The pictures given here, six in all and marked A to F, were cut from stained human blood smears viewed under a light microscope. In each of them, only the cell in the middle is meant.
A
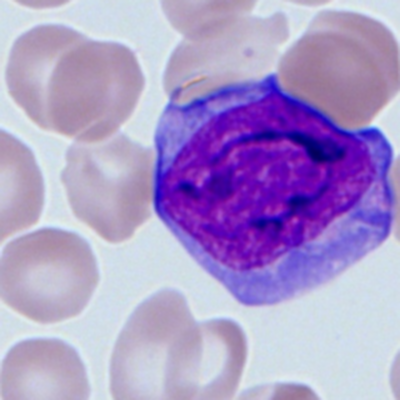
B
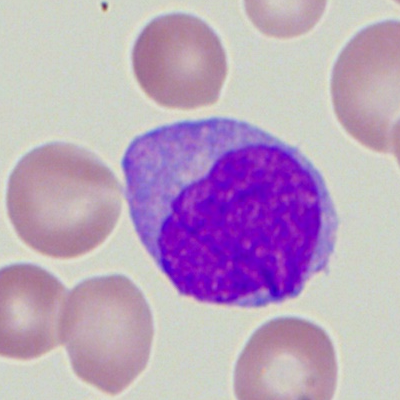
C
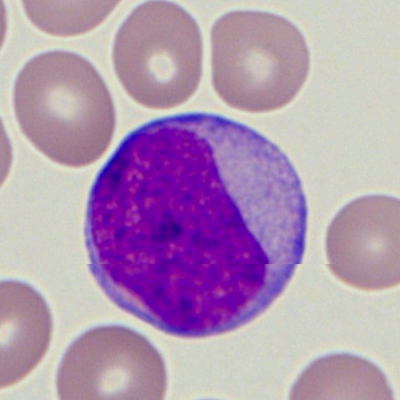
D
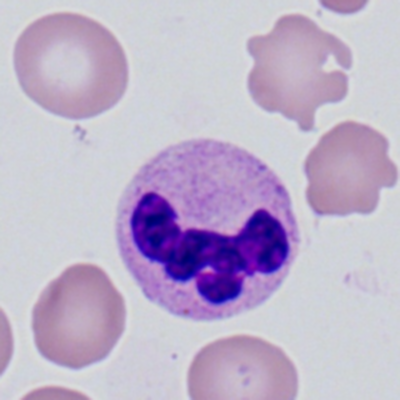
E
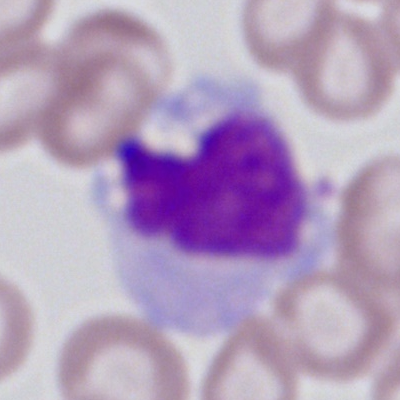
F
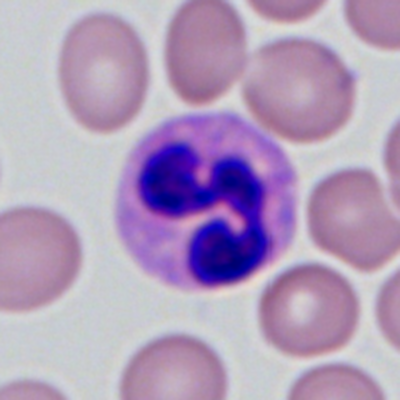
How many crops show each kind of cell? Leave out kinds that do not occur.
blast: 2
monocyte: 2
neutrophil: 2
